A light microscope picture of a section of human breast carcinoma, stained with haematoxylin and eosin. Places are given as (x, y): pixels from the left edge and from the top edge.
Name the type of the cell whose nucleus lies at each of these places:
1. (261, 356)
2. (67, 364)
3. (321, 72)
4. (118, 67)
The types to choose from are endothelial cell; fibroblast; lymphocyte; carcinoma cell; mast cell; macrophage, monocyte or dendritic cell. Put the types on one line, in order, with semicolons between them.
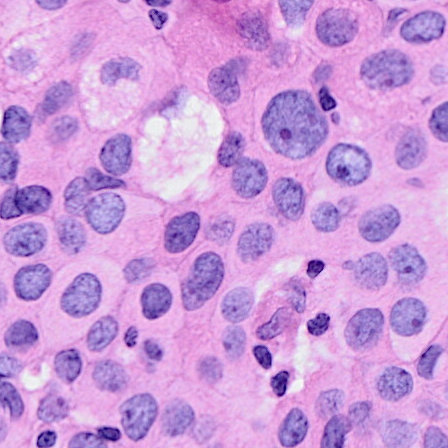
lymphocyte; carcinoma cell; carcinoma cell; carcinoma cell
